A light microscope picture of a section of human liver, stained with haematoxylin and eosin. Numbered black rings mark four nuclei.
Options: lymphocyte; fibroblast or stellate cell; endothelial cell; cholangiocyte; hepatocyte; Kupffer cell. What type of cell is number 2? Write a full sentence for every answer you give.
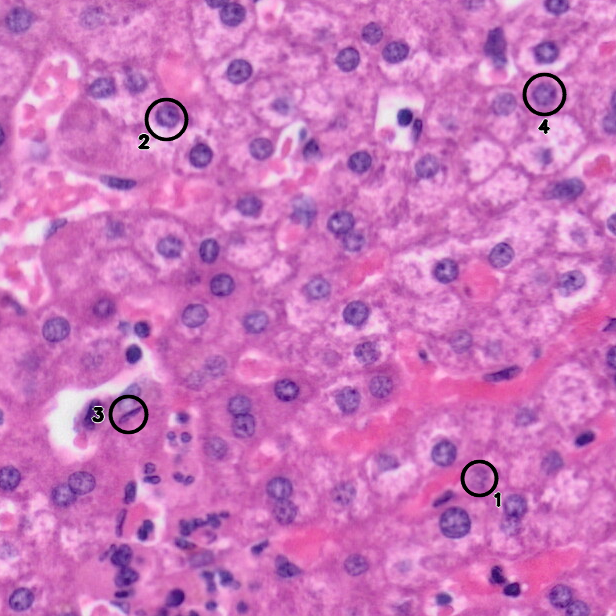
Here the cell numbered 2 is a hepatocyte.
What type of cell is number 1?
The numbered cell 1 in this field is a hepatocyte.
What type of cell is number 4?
Cell 4, among those numbered, is a hepatocyte.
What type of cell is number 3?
Recognised here as a fibroblast or stellate cell is the cell numbered 3.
